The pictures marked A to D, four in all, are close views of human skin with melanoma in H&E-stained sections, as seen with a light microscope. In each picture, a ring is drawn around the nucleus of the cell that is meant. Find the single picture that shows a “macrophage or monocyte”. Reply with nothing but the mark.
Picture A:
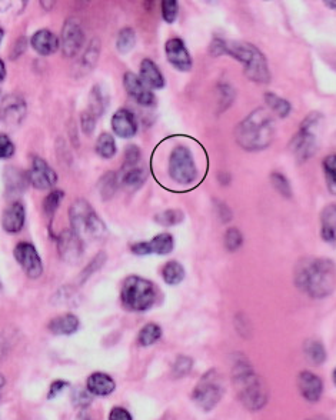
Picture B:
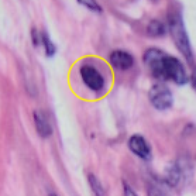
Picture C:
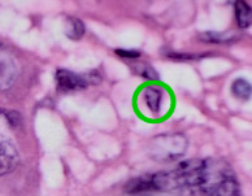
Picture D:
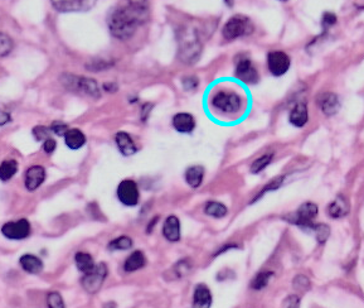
C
